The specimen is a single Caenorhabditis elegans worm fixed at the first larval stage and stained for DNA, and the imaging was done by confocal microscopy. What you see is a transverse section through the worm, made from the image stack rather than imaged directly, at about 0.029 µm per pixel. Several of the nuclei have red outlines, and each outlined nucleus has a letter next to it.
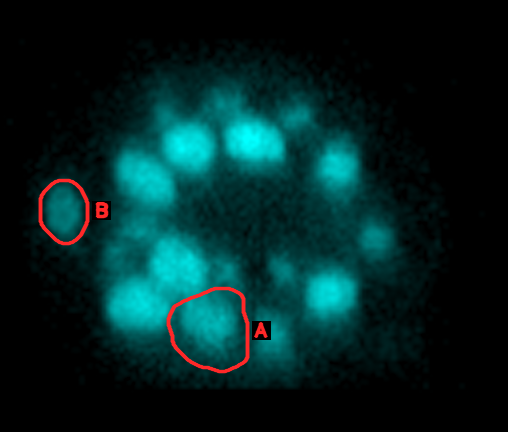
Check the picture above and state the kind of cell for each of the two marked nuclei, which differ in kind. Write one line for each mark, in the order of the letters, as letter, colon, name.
A: neuron
B: hypodermal cell (hyp)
